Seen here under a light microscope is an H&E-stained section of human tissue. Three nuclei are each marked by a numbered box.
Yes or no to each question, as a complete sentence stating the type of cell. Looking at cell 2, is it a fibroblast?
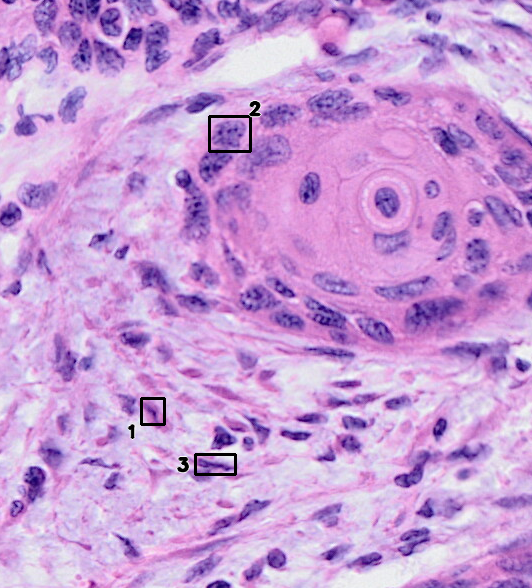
No, number 2 is assigned to a squamous carcinoma cell, not to a fibroblast.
